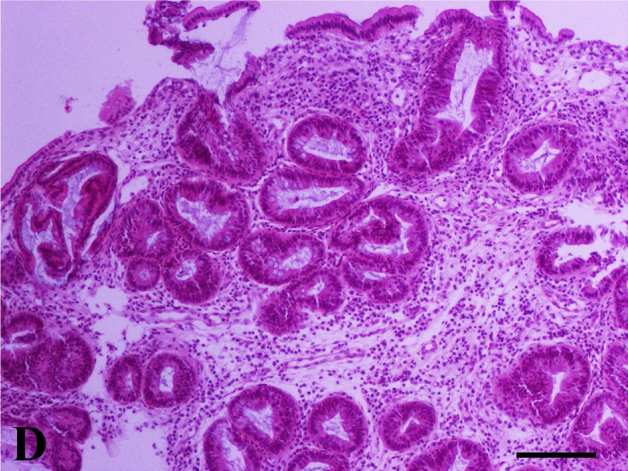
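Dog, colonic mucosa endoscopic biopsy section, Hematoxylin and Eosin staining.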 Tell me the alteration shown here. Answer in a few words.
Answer: Severe crypt hyperplasia.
